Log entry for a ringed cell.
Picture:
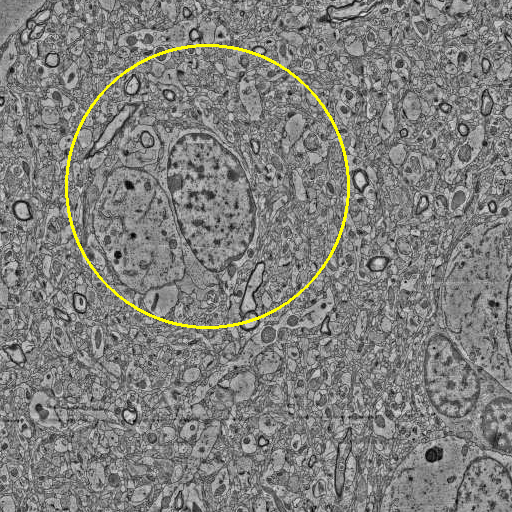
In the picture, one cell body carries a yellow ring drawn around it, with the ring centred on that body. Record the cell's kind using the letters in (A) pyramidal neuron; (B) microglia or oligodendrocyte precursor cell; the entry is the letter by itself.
B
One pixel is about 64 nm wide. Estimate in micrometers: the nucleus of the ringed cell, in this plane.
In this plane the nucleus measures about 9 by 5 micrometres and is clearly longer than it is wide.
